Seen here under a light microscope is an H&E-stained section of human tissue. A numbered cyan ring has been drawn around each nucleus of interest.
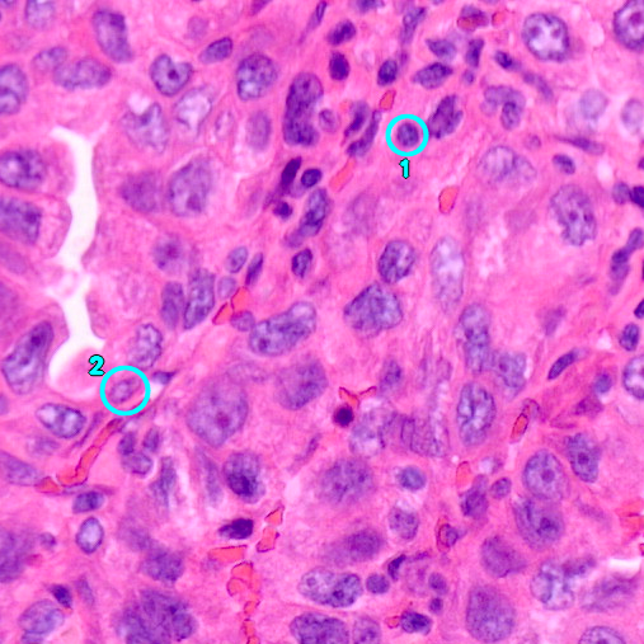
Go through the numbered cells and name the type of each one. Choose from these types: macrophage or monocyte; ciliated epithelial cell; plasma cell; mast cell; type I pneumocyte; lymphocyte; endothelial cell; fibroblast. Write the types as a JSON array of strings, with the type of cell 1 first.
["lymphocyte", "macrophage or monocyte"]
